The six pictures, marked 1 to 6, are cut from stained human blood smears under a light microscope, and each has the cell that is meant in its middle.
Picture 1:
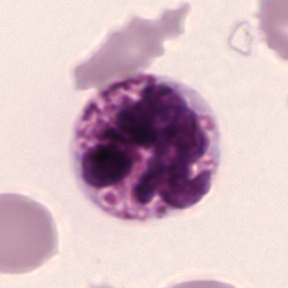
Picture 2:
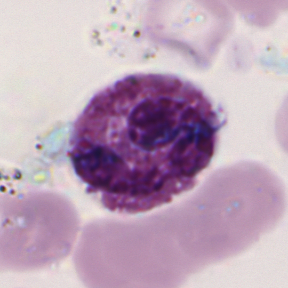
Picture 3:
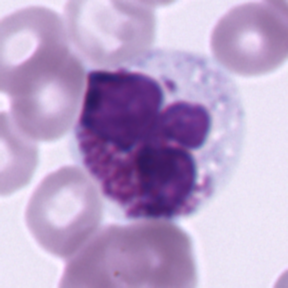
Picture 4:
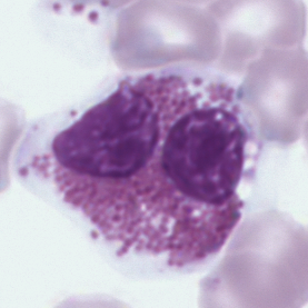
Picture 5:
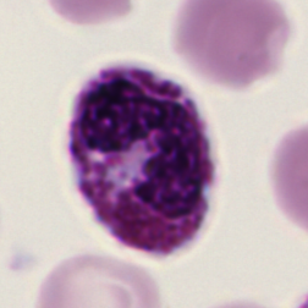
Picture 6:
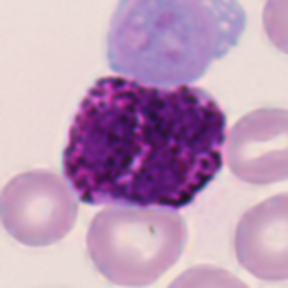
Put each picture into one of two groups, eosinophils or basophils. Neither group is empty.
1: basophil
2: eosinophil
3: eosinophil
4: eosinophil
5: eosinophil
6: basophil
